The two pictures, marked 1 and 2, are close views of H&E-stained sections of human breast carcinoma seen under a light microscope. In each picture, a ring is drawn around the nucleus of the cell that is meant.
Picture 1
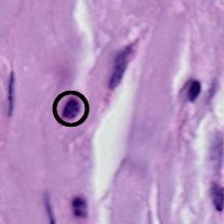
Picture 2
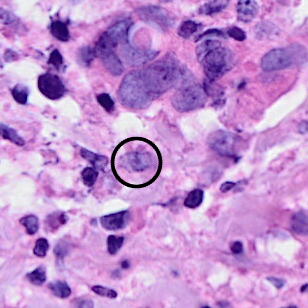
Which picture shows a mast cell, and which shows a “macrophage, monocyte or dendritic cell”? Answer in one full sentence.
The cell in picture 1 is a mast cell, and the one in picture 2 is a “macrophage, monocyte or dendritic cell”.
